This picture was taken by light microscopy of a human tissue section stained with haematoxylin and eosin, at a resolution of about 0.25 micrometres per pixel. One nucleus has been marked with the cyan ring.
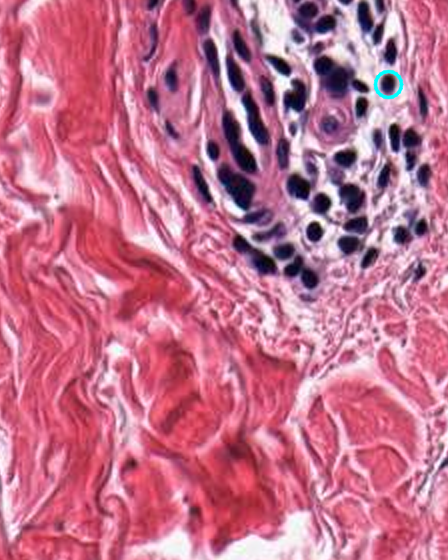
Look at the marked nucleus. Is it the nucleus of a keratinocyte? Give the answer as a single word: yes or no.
no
